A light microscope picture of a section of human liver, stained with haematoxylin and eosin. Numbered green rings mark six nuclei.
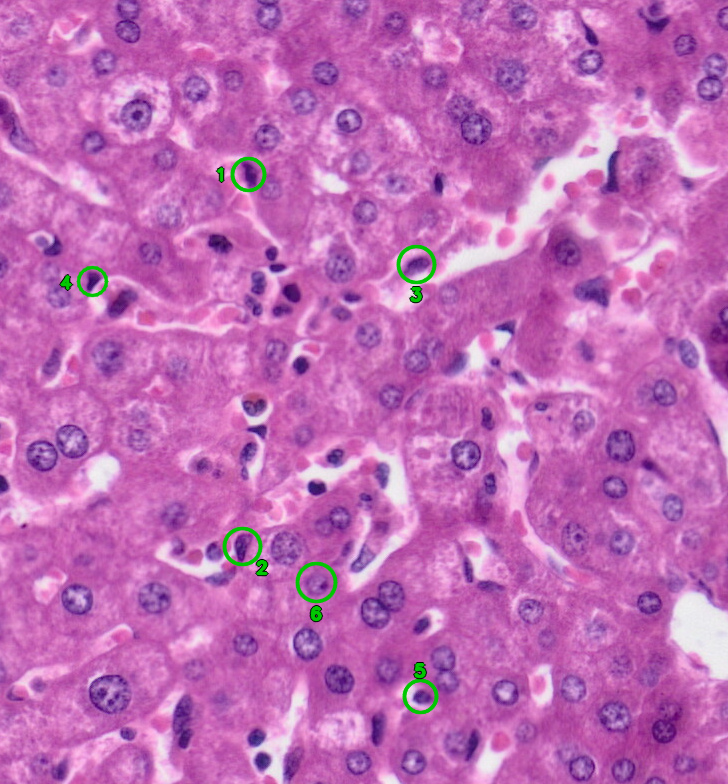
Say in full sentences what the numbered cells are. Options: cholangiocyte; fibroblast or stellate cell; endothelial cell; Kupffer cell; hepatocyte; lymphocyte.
Cell 1 is a Kupffer cell, cell 2 is a fibroblast or stellate cell, cell 3 is a Kupffer cell, cell 4 is a fibroblast or stellate cell, cell 5 is a lymphocyte and cell 6 is a hepatocyte.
